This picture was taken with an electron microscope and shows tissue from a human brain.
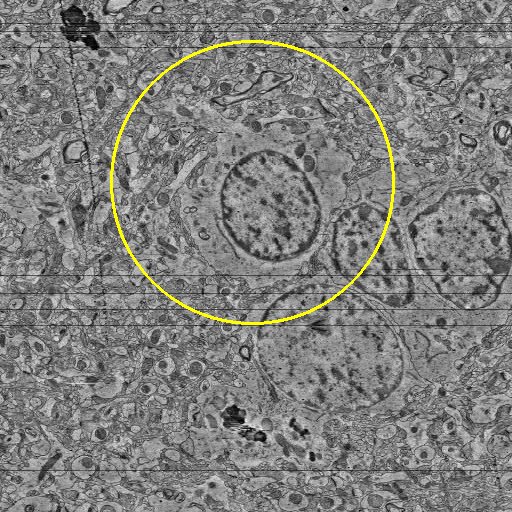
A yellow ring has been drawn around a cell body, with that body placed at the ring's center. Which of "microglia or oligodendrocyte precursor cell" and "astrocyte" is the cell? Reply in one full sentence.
In this picture, an astrocyte is the cell at the center of the yellow ring.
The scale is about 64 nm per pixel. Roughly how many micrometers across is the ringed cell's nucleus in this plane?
Roughly 7 by 6 micrometres in this plane, for the nucleus of the ringed cell.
